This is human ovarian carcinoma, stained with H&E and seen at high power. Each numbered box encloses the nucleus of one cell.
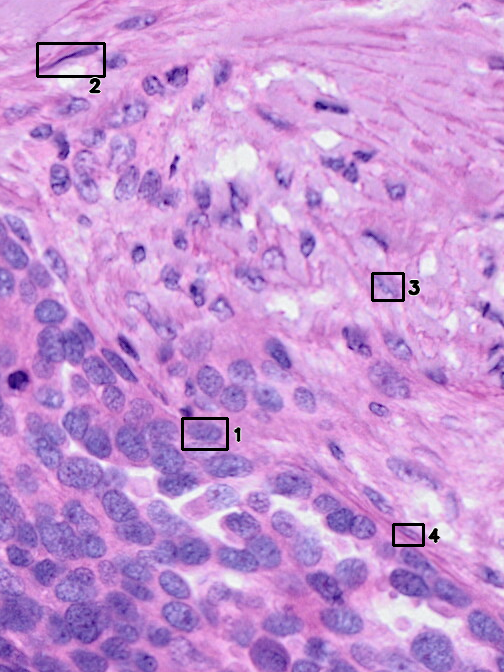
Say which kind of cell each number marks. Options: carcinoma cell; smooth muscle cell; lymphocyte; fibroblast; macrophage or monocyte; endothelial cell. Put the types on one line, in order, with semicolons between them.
carcinoma cell; fibroblast; fibroblast; fibroblast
